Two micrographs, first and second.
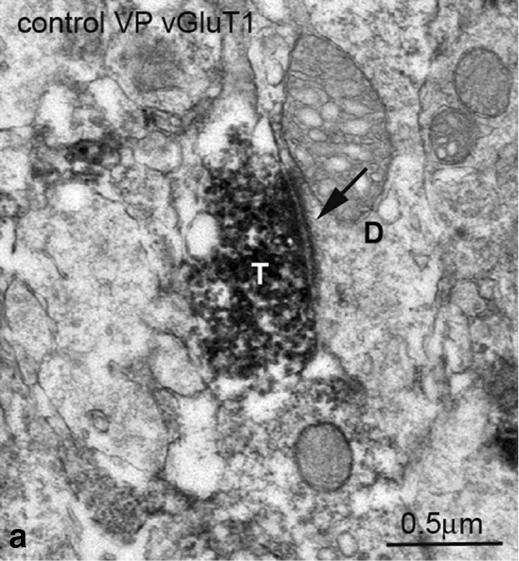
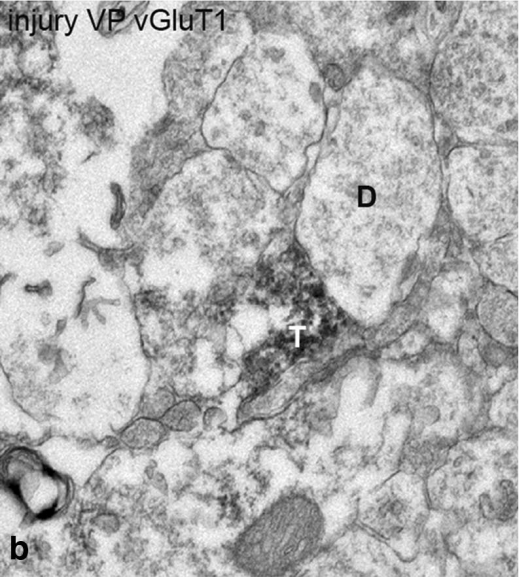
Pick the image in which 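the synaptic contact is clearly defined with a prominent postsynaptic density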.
The first image.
